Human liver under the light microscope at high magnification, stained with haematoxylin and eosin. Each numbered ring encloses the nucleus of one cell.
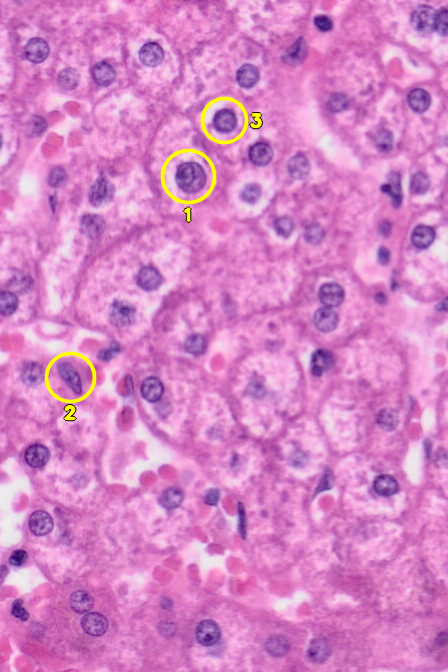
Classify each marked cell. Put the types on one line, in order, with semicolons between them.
hepatocyte; Kupffer cell; hepatocyte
